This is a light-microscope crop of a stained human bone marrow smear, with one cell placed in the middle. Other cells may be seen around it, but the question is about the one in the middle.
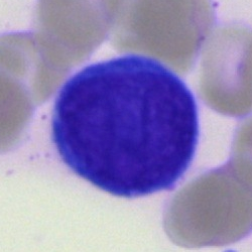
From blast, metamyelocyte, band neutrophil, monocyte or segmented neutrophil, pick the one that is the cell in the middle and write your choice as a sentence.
The cell marked by its central position in the crop is a blast.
